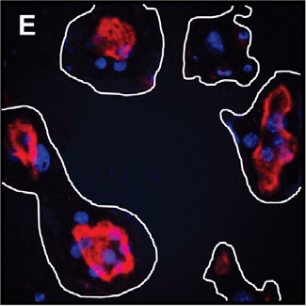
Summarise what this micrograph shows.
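In most cells a broad red ring or dense red patch occupies much of the cell body, surrounding or overlying the nuclei. The cells vary in shape from rounded to elongated, and one at the lower left has a long extension. The space between cells is dark.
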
